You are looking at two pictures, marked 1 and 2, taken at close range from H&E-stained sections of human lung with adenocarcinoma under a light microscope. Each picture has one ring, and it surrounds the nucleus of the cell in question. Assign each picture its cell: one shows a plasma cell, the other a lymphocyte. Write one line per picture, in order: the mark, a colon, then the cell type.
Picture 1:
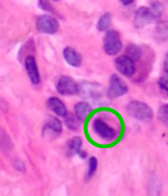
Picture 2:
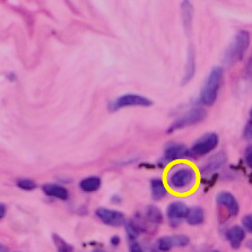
1: plasma cell
2: lymphocyte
